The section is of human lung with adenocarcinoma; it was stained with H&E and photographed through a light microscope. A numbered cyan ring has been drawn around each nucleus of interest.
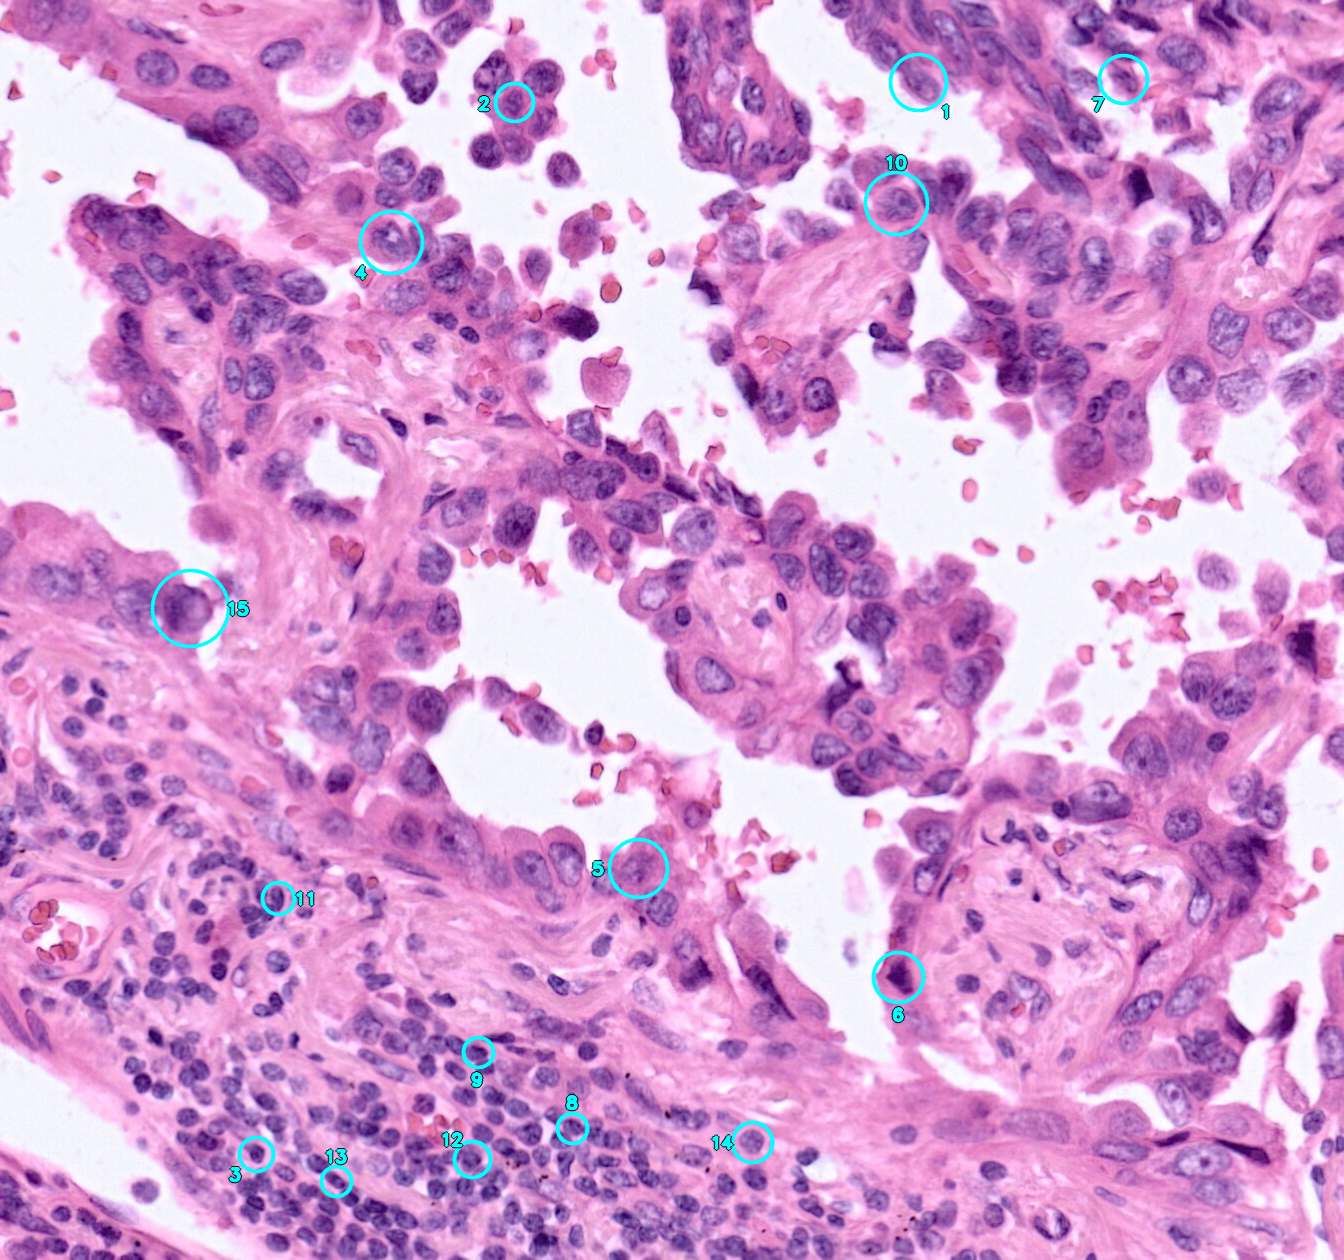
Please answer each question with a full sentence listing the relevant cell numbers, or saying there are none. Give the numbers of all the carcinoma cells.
The cells labelled 1, 2, 4, 5, 6, 7, 10 and 15 in this section are carcinoma cells.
